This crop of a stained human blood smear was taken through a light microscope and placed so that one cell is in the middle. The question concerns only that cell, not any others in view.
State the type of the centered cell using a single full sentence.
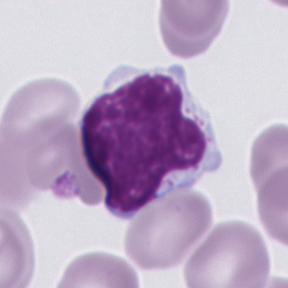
For this crop, the central cell is a large granular lymphocyte.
